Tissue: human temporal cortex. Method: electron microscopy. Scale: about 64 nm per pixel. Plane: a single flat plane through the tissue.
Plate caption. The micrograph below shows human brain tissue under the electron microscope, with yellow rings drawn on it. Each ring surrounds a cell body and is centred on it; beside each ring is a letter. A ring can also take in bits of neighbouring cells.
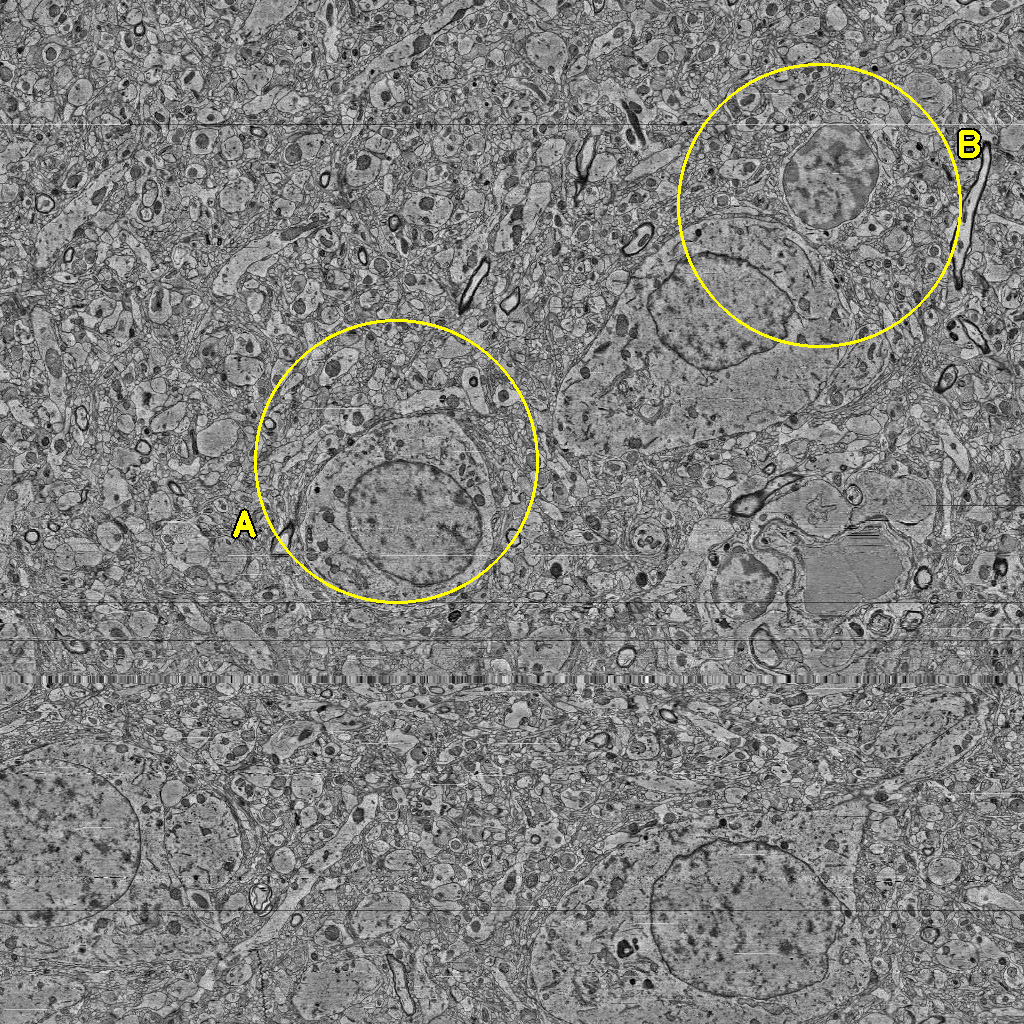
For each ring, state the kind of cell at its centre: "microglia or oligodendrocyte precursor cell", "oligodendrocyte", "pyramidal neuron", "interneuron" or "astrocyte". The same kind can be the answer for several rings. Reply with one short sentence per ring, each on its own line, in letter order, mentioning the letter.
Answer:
Ring A is drawn around a pyramidal neuron.
Ring B is drawn around a microglial cell or oligodendrocyte precursor cell.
